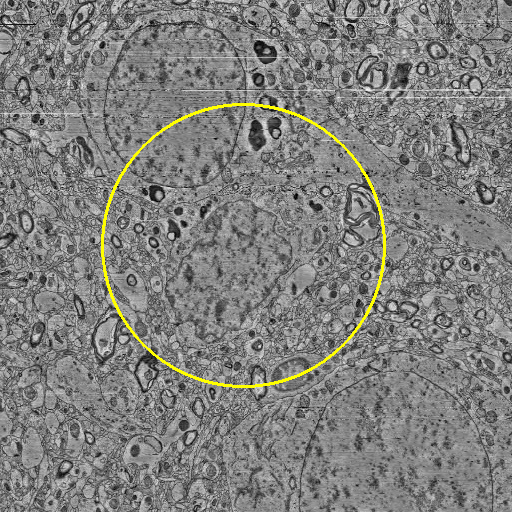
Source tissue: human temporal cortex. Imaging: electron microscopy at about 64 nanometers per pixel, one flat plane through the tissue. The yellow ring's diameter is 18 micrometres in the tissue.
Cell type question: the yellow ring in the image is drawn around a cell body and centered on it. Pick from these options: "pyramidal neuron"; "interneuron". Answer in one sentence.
The ringed cell at the center is an interneuron.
